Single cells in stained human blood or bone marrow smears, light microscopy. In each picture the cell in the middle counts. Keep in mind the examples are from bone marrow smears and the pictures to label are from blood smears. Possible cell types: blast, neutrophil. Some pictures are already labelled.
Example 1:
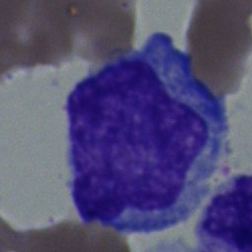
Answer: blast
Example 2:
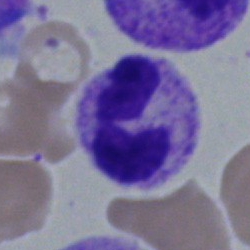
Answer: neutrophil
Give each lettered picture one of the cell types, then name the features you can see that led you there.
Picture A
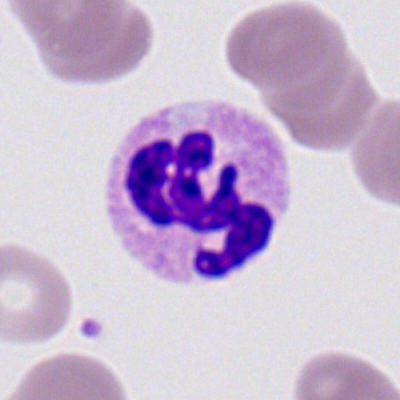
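neutrophil. The cytoplasm is plentiful and pale pinkish-lilac.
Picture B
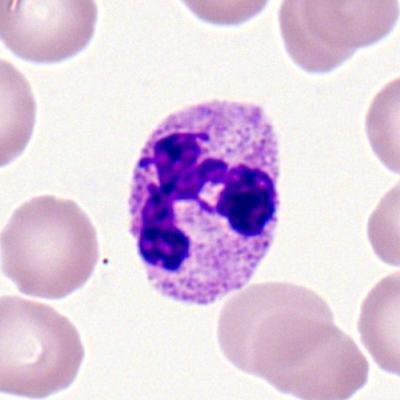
neutrophil. The nucleus is divided into three lobes.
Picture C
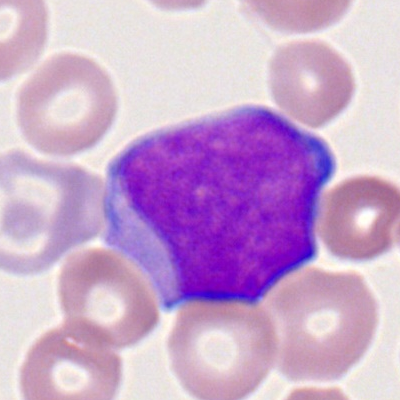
blast. The cytoplasm is scant and widest as a crescent on the left side of the cell.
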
